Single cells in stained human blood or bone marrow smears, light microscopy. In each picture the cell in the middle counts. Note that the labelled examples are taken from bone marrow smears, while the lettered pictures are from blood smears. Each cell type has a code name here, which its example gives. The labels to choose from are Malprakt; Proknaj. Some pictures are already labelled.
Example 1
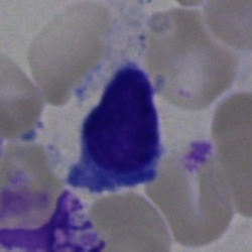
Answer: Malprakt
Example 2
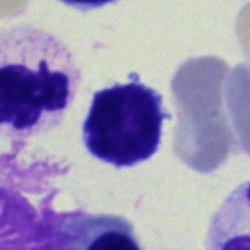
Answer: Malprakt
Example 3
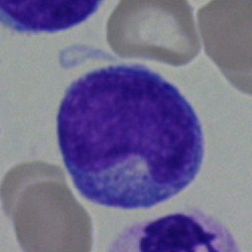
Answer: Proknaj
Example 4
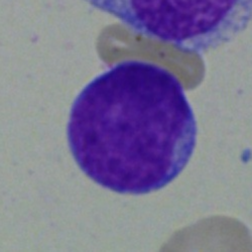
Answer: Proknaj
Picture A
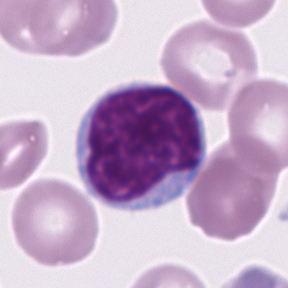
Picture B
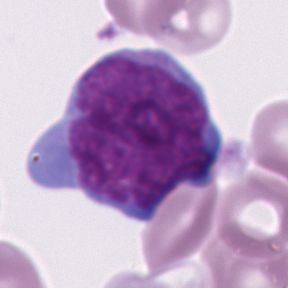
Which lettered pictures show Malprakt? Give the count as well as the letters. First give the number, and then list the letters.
1: A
